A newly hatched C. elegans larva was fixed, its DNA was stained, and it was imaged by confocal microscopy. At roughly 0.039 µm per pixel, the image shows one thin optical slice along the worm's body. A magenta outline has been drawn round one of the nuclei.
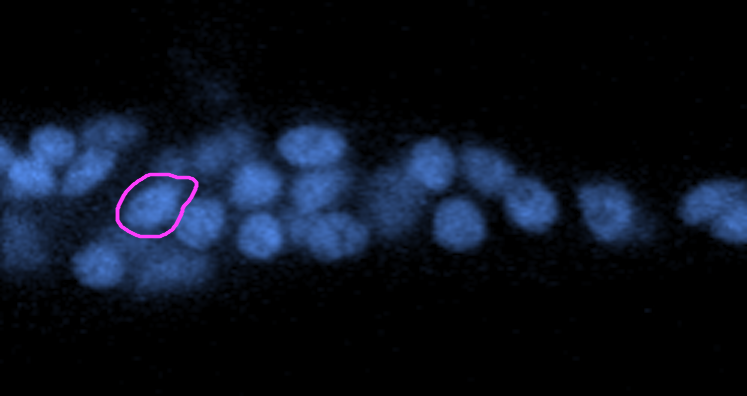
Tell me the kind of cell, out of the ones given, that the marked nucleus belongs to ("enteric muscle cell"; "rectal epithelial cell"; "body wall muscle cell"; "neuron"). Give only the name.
rectal epithelial cell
